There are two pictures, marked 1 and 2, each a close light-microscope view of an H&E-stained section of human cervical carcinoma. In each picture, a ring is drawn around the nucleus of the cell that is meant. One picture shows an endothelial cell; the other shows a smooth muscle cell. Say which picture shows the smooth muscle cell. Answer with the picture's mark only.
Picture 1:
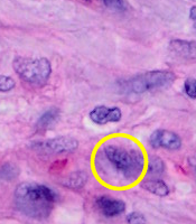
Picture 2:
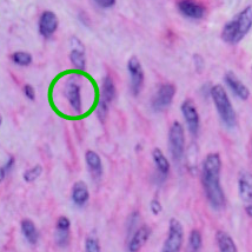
2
